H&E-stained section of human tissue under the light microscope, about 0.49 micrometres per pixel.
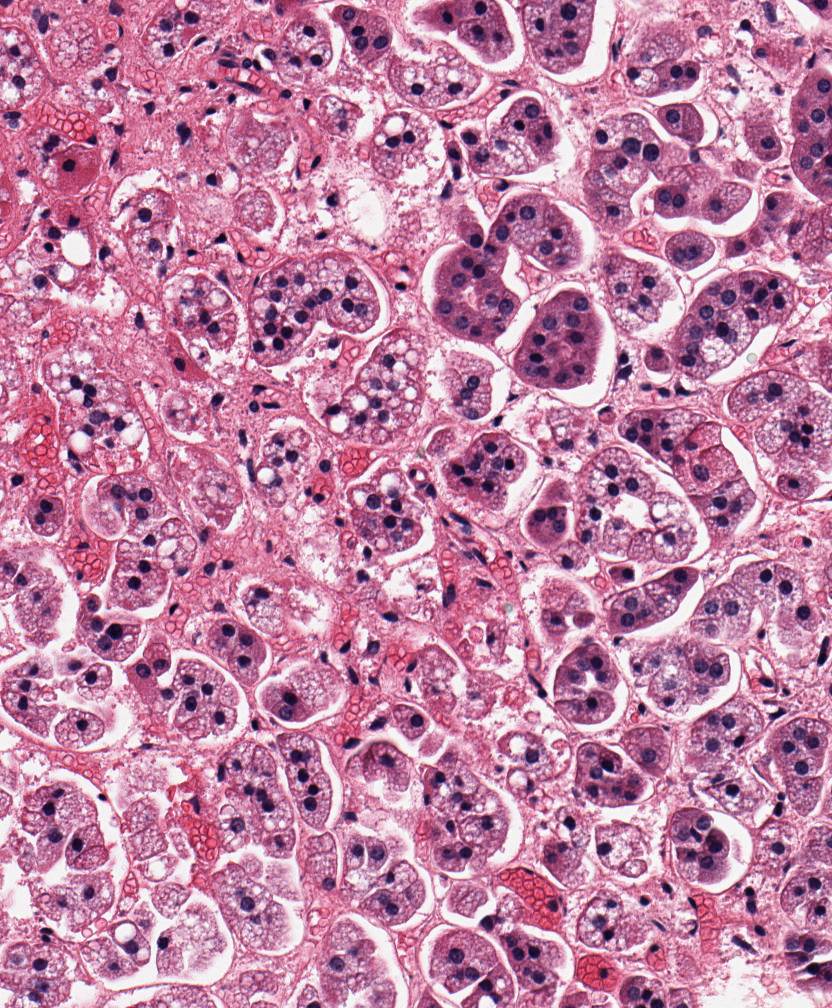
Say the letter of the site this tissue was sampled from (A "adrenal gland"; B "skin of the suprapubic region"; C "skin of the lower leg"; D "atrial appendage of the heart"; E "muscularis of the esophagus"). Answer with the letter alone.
A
